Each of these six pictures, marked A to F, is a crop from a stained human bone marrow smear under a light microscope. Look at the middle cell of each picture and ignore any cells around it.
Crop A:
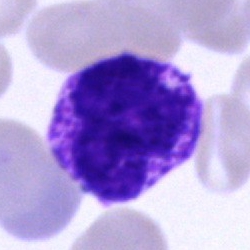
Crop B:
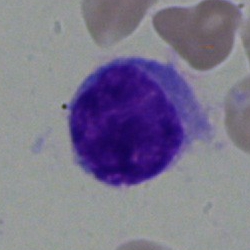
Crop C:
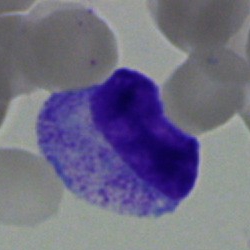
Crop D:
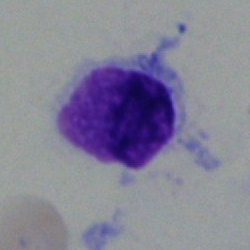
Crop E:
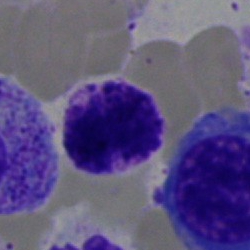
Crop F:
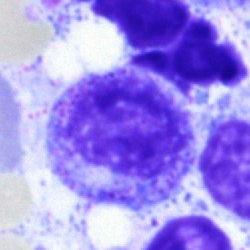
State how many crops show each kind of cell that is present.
basophil: 2
hairy cell: 2
metamyelocyte: 2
